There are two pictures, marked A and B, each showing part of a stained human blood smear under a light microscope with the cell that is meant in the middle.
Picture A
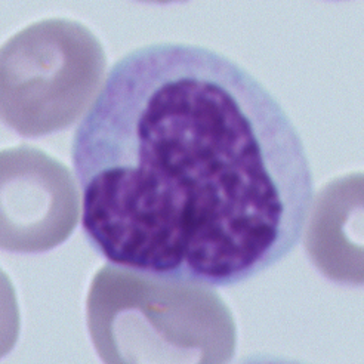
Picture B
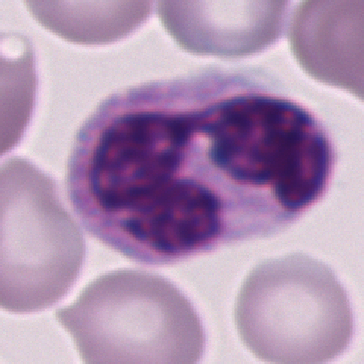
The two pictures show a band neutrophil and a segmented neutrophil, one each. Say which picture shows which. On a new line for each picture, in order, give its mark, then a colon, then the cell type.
A: band neutrophil
B: segmented neutrophil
